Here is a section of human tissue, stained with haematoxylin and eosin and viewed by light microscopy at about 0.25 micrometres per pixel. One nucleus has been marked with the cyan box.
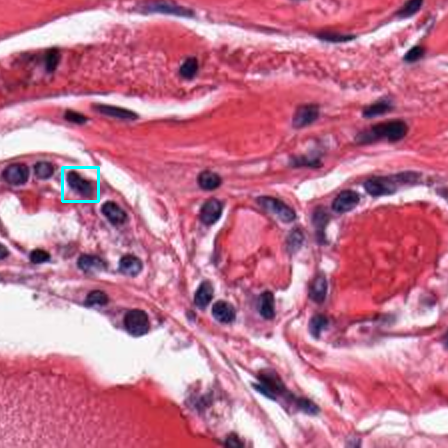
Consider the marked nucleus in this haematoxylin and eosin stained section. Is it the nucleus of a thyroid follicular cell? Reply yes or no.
yes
